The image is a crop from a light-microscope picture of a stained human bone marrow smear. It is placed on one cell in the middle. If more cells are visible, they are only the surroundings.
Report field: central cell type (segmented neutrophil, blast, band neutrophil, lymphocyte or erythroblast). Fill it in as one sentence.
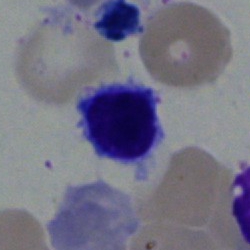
By classification, the middle cell of this crop is a lymphocyte.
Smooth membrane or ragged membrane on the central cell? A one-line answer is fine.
Irregular rather than smooth, the cell margin shows ragged areas or projections.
